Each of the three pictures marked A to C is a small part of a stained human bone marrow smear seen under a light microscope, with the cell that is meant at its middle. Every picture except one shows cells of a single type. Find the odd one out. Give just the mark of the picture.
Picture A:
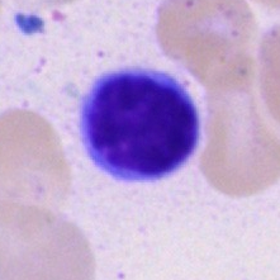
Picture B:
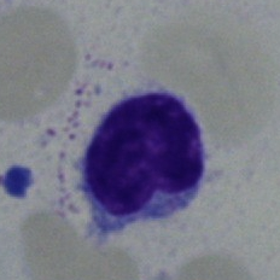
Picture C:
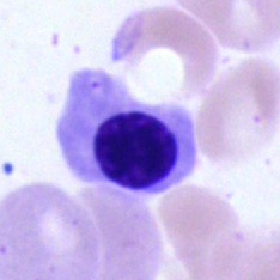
C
